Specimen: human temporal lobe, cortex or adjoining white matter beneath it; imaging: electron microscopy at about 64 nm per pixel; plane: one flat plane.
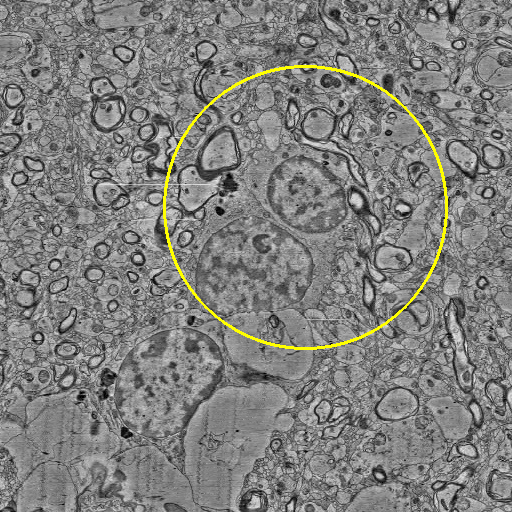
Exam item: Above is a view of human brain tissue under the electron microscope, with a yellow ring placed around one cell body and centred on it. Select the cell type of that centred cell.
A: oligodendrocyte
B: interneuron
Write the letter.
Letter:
A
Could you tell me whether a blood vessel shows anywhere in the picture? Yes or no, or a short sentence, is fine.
Yes, there is a blood vessel in the image.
